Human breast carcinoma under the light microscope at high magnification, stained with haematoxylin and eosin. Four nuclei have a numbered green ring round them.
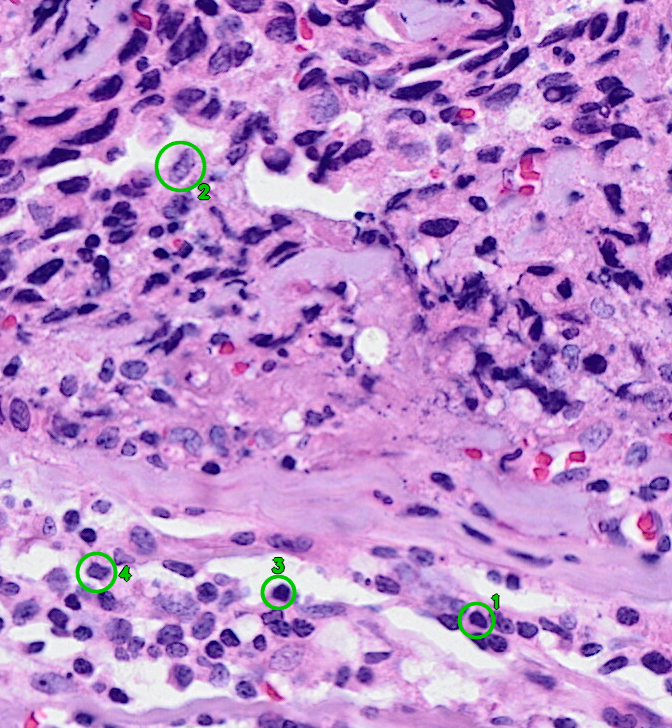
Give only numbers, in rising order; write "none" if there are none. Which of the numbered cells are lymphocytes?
1, 3, 4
